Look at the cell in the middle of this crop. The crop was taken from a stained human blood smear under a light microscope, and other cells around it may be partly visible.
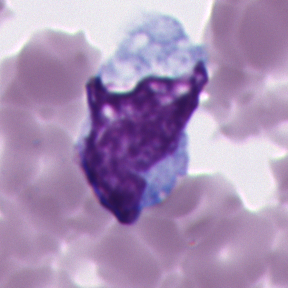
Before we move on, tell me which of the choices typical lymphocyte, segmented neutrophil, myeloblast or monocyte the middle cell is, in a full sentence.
In the centre of this crop there is a monocyte.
